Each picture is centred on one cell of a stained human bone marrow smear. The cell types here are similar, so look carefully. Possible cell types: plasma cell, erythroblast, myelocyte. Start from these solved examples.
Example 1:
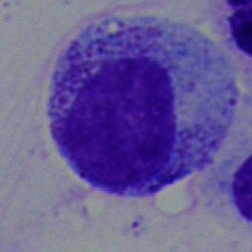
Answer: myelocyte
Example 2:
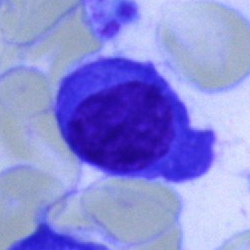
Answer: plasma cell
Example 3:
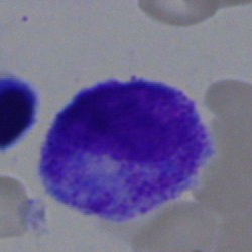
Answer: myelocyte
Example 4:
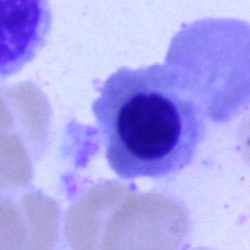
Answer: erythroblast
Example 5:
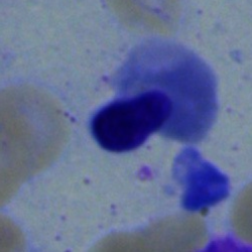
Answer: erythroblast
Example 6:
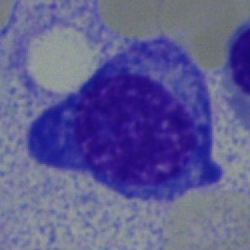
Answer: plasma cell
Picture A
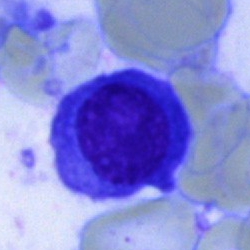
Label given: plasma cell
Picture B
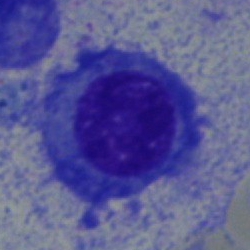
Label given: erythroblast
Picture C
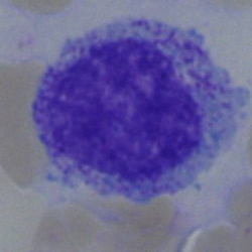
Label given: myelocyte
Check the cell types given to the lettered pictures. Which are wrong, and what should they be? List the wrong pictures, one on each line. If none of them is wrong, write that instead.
B: not erythroblast but plasma cell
